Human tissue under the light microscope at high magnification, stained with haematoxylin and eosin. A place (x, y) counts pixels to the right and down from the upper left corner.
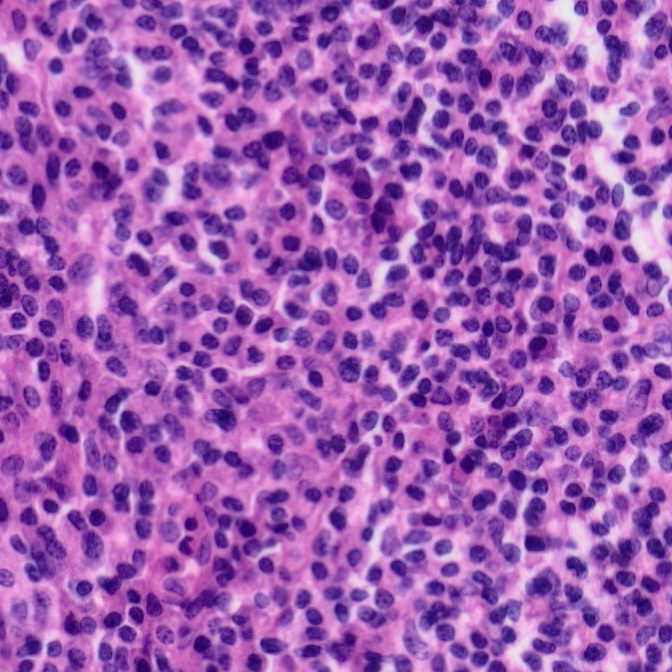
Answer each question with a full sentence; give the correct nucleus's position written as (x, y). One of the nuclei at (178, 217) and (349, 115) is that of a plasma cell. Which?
The nucleus whose position is (178, 217) belongs to a plasma cell.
